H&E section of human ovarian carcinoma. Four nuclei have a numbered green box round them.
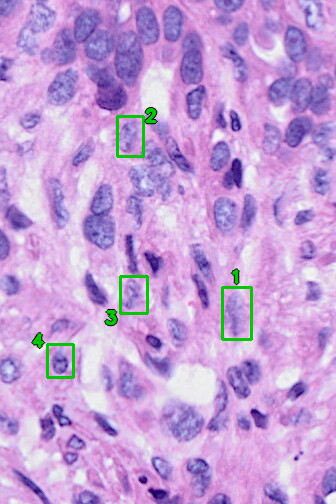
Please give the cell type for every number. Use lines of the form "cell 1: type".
cell 1: fibroblast
cell 2: fibroblast
cell 3: fibroblast
cell 4: macrophage or monocyte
